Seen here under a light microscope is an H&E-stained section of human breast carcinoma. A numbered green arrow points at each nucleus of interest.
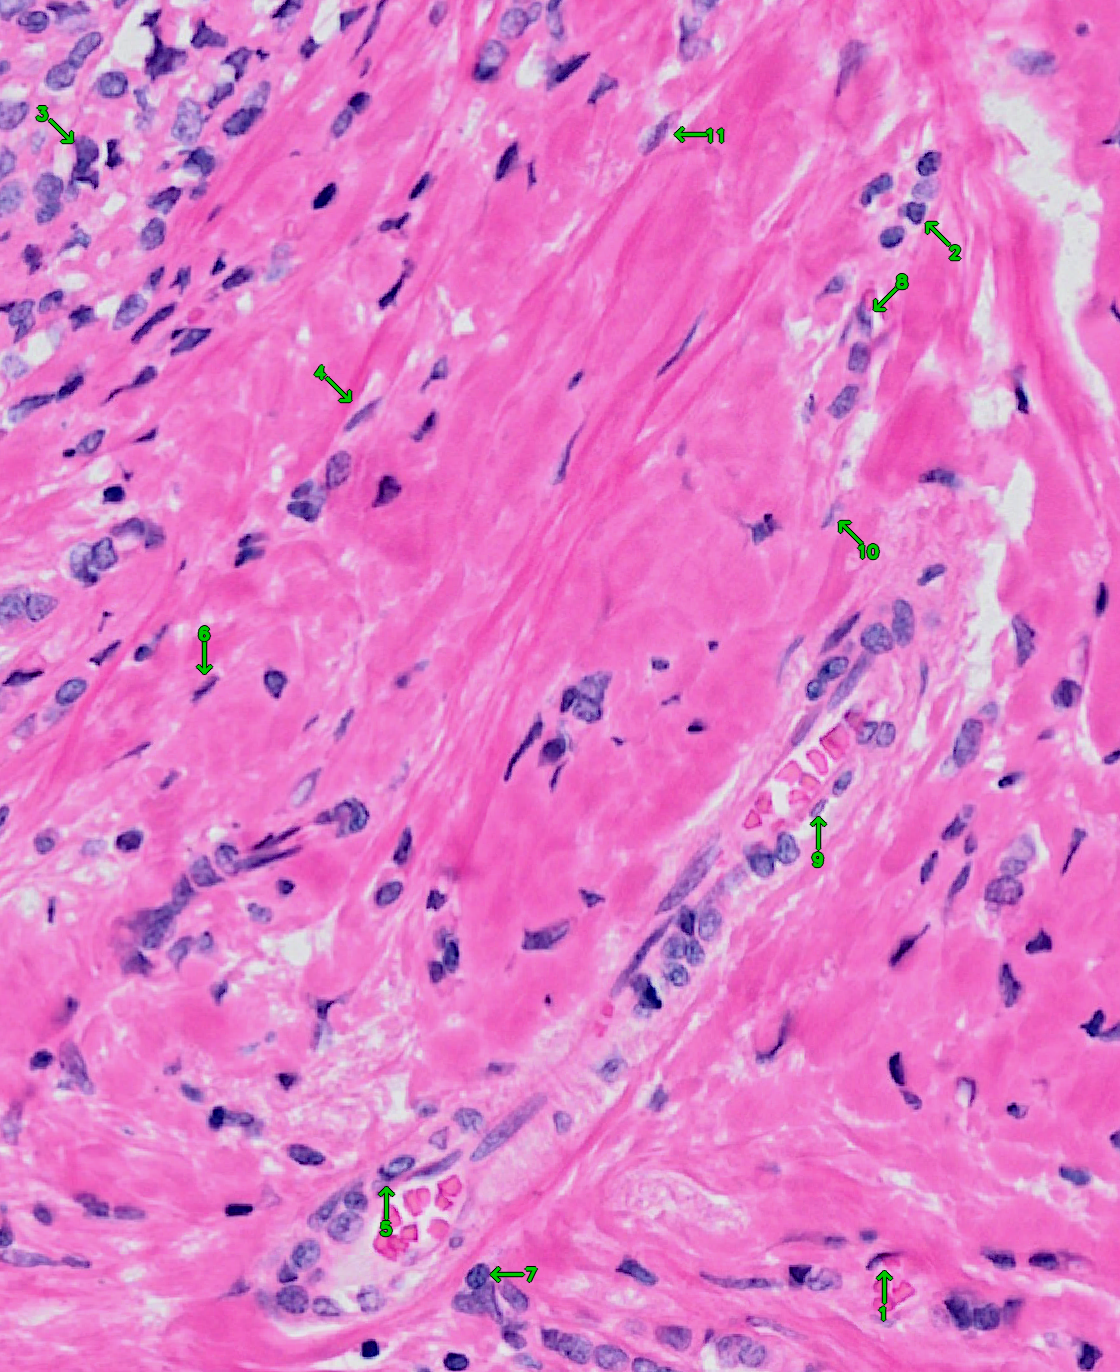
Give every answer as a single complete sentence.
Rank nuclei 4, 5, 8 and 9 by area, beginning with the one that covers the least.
By area, going up from the smallest, they rank 9, 5, 8, 4.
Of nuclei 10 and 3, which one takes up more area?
Nucleus 3 is larger, with an area about 4 times that of nucleus 10.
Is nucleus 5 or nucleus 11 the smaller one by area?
Number 5 is smaller, since number 11 takes up about 2 times as much area.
